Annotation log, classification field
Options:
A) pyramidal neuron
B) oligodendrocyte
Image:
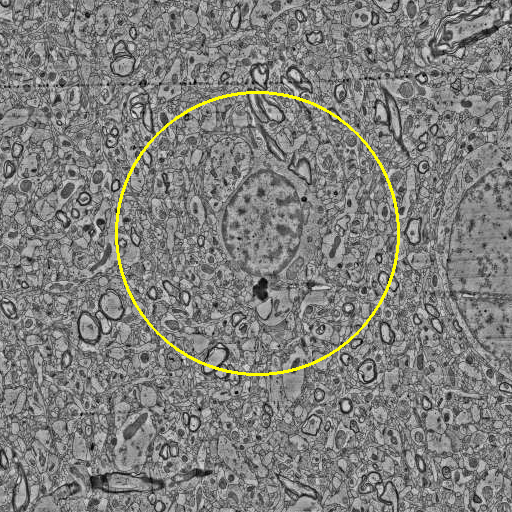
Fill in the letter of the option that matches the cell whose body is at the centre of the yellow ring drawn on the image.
B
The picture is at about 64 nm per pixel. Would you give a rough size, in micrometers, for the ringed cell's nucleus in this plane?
Roughly 7 by 5 micrometres is the size of the nucleus in this plane.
